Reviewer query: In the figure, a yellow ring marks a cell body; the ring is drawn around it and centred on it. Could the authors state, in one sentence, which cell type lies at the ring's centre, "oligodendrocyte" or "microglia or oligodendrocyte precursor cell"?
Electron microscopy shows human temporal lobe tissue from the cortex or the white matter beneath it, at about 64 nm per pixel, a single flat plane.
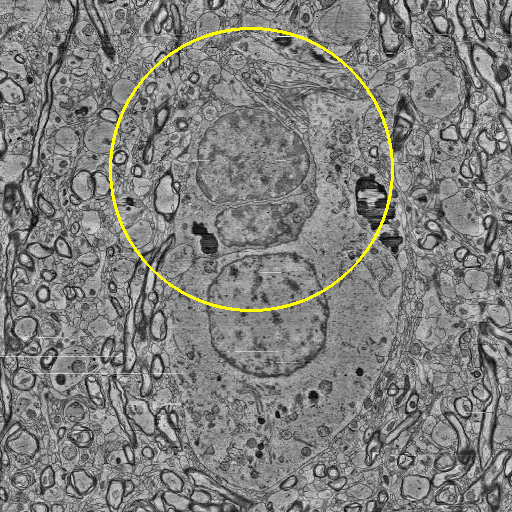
The ring is centred on an oligodendrocyte.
